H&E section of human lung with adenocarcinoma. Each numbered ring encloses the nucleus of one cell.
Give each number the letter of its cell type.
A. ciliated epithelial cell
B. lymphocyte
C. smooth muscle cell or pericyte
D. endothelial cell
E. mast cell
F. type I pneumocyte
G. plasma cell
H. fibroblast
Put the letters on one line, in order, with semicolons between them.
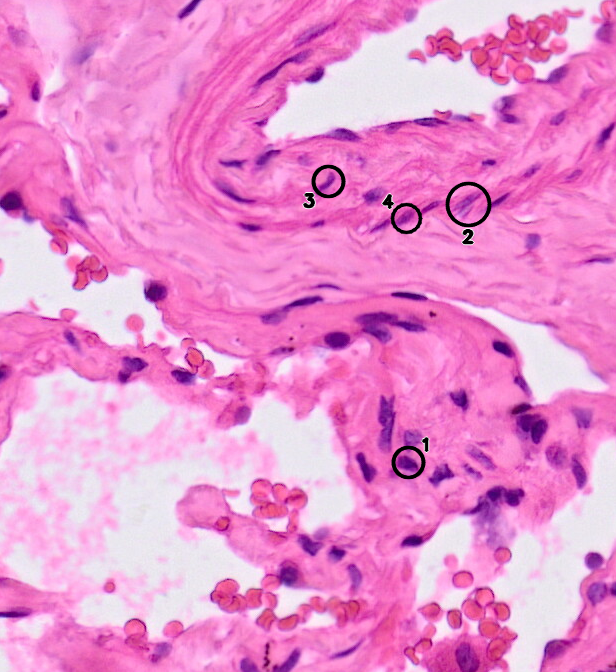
G; C; C; C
